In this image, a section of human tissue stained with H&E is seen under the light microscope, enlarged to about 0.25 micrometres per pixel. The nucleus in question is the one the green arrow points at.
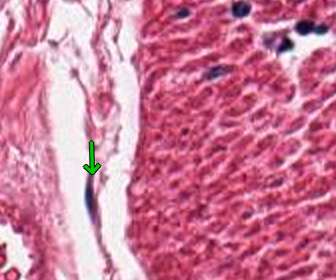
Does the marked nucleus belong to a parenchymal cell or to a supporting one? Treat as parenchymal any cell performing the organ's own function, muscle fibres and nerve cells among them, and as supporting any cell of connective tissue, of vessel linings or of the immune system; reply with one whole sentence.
The marked nucleus lies in a supporting cell.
